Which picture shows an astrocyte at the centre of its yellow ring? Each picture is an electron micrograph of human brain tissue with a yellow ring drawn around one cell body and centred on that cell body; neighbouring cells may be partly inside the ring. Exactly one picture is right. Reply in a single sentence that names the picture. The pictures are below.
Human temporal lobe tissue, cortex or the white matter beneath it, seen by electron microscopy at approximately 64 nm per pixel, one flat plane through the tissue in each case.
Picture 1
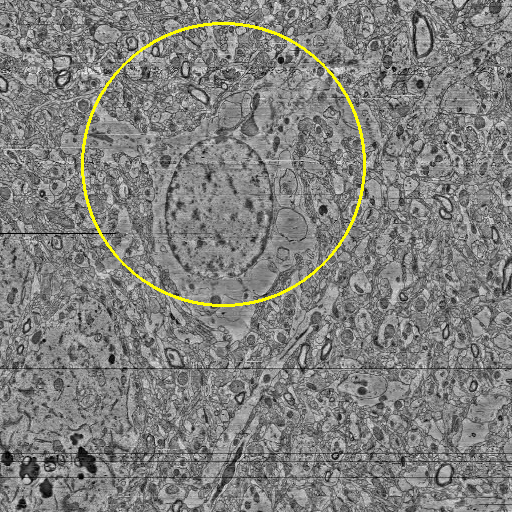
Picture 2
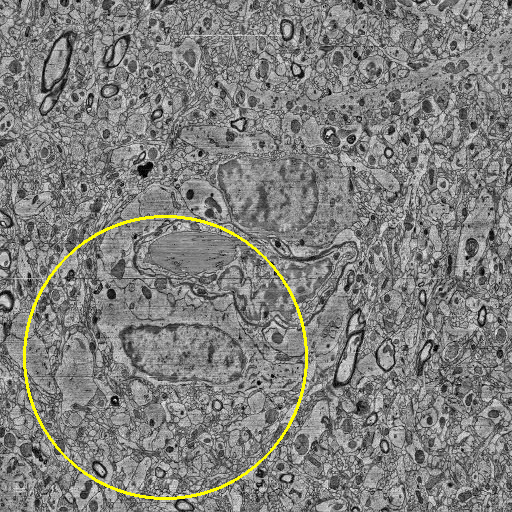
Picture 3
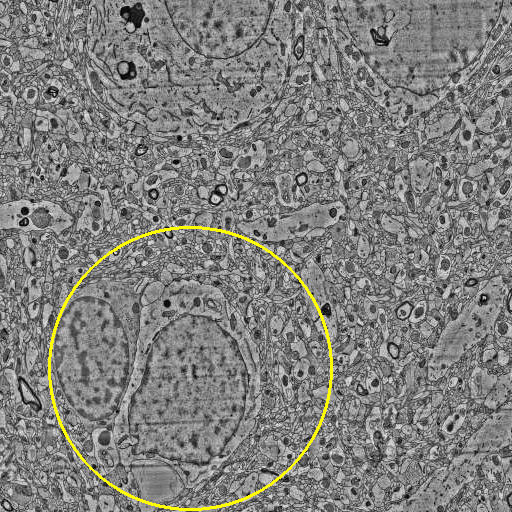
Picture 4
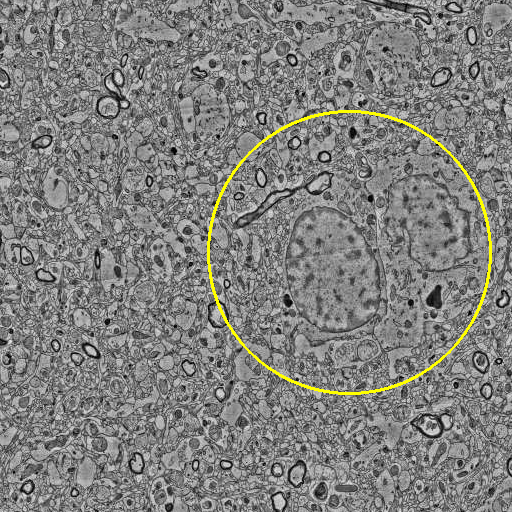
Picture 1 shows it.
